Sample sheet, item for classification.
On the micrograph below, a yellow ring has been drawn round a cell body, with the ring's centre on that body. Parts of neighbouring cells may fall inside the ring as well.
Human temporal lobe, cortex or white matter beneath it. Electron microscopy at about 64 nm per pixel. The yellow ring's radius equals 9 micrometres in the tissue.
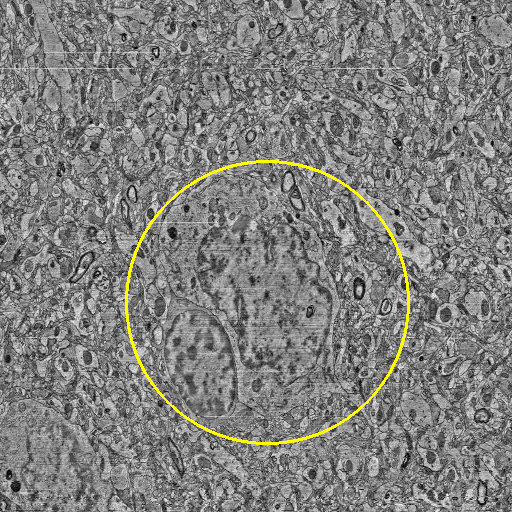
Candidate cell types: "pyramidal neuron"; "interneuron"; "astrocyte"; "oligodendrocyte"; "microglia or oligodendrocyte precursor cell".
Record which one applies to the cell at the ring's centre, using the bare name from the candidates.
interneuron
